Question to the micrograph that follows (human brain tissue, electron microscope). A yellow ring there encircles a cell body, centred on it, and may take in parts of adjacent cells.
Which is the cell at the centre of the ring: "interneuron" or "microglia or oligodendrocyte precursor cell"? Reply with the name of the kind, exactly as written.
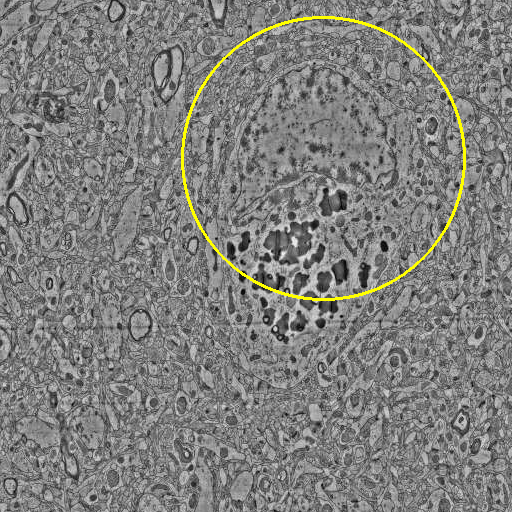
interneuron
